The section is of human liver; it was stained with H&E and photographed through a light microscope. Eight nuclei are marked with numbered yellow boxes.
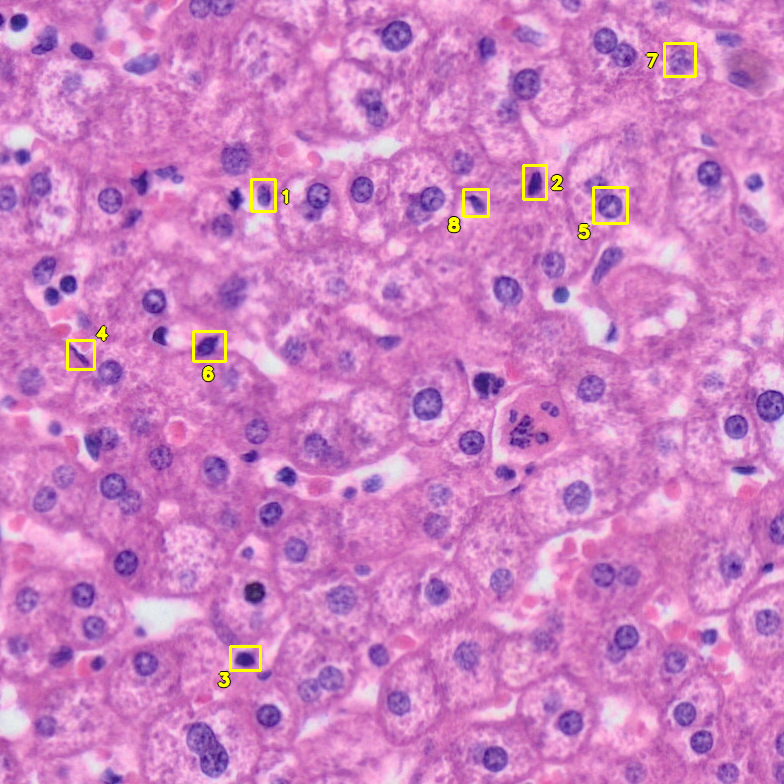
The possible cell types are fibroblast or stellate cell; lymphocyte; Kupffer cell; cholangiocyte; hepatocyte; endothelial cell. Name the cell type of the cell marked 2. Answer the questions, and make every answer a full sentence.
Looking at the numbered marks, cell 2 is a fibroblast or stellate cell.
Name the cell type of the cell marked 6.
Here, the cell given the number 6 is a fibroblast or stellate cell.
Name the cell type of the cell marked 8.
Identified as an endothelial cell is the cell bearing the number 8.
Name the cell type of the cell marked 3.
Corresponding to a lymphocyte is the cell labelled 3.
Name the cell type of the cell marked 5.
The nucleus labeled 5 belongs to a hepatocyte.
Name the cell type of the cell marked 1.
The cell referenced by the number 1 is a lymphocyte in this field.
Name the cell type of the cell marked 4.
Looking at the numbered marks, cell 4 is an endothelial cell.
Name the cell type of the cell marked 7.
At number 7, the marked cell is a hepatocyte.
